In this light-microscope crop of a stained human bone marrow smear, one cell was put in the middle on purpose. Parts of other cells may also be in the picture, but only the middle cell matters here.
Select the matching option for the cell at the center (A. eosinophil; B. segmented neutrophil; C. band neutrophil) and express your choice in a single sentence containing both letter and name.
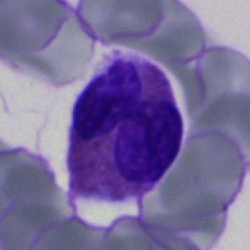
The cell in the middle is correctly identified as an eosinophil in option A.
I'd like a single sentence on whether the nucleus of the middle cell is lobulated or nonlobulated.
We find a nucleus divided into at least two lobes.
